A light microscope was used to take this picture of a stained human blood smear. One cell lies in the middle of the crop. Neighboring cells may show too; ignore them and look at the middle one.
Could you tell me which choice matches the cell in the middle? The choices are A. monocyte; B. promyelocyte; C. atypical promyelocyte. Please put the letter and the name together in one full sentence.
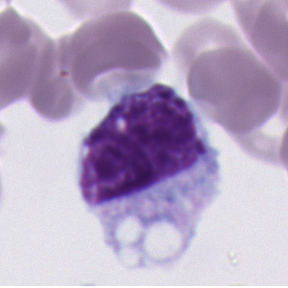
Option A correctly names the cell in the middle as a monocyte.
